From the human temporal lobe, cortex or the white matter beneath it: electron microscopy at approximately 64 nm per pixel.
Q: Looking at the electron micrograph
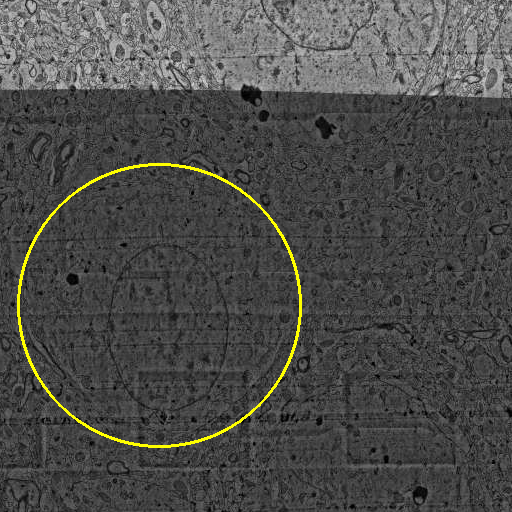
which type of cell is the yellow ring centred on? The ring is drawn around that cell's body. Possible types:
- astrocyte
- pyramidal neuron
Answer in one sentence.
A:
The yellow ring is centred on a pyramidal neuron.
